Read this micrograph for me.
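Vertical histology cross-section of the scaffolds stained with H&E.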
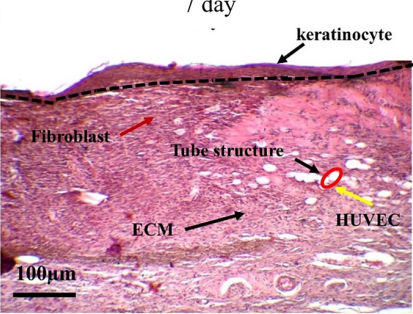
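The lower layer is a pink fibrous matrix that holds scattered, elongated cells with small dark nuclei. Small round clear spaces lie within this matrix, and one of them is circled in red. Toward the bottom of the section the matrix is paler and looser, and it contains larger open spaces.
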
